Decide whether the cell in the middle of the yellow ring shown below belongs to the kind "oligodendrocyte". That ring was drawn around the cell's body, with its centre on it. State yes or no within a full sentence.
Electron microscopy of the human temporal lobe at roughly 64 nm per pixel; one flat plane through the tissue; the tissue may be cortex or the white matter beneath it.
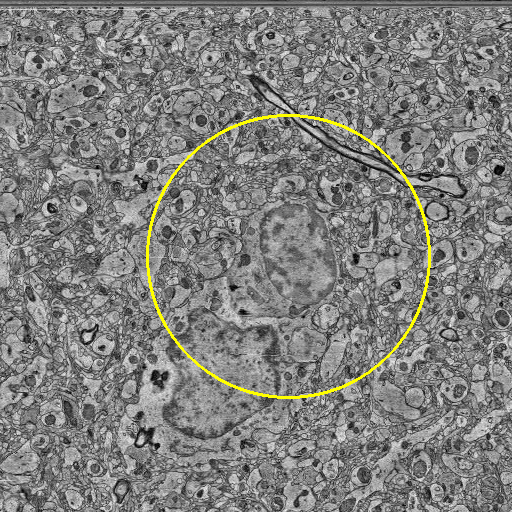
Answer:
Yes, the cell whose body lies at the ring's centre in the picture belongs to that kind.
